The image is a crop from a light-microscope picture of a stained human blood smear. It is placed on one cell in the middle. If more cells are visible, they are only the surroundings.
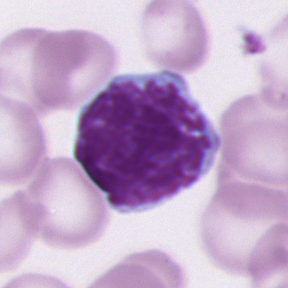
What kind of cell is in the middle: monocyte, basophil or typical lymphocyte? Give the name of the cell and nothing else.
typical lymphocyte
